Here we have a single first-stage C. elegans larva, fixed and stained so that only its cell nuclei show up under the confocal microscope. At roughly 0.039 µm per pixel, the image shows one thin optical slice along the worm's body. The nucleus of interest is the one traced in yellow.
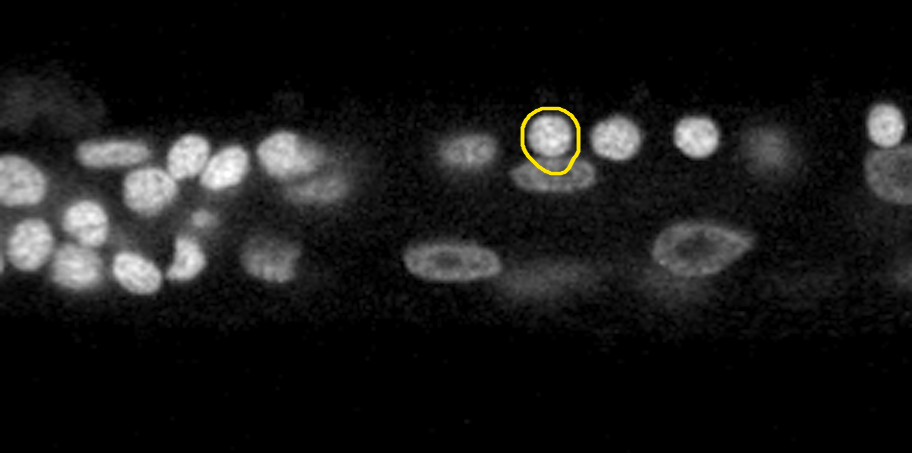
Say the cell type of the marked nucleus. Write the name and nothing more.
neuron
